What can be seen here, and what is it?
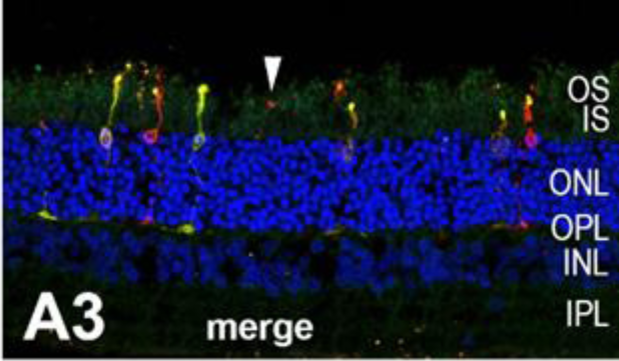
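A vertical section of retina shows scattered cone photoreceptors standing across the photoreceptor layers. Most cones look yellow-orange where red and green overlap; one cone shows only a small red spot near the top. Below the terminals lies a thinner blue nuclear layer, and under it a dark, nucleus-free plexiform layer.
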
